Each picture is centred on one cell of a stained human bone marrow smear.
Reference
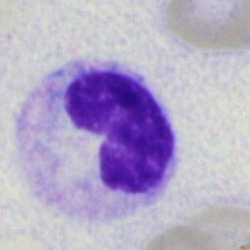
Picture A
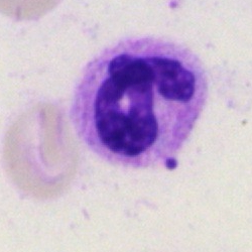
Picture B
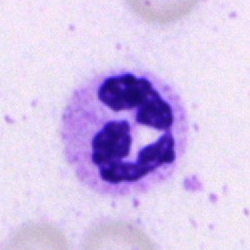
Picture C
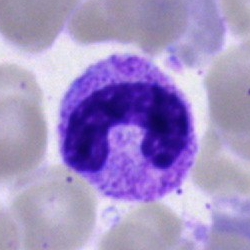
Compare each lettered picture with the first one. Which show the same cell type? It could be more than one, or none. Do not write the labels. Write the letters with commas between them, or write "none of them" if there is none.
C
